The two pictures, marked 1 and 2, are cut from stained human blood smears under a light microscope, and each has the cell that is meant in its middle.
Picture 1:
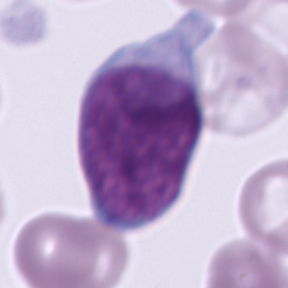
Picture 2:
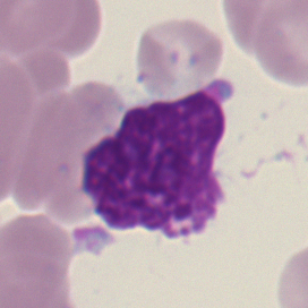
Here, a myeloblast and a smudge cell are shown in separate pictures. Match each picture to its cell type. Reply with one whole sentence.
Picture 2 shows a smudge cell, while picture 1 shows a myeloblast.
